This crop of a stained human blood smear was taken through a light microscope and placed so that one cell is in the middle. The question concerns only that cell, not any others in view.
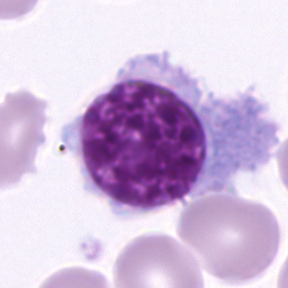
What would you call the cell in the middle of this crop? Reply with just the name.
plasma cell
